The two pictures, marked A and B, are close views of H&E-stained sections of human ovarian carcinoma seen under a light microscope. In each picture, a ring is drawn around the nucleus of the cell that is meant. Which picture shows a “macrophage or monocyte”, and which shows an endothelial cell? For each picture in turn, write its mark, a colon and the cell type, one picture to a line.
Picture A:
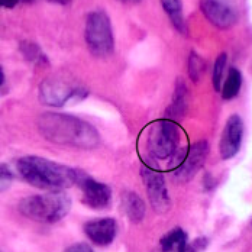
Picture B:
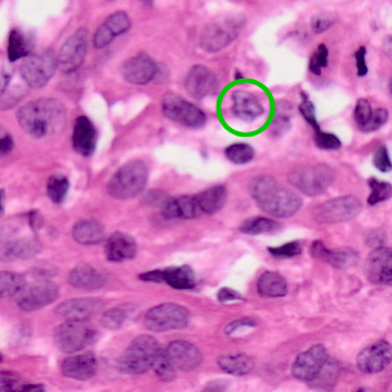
A: endothelial cell
B: macrophage or monocyte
